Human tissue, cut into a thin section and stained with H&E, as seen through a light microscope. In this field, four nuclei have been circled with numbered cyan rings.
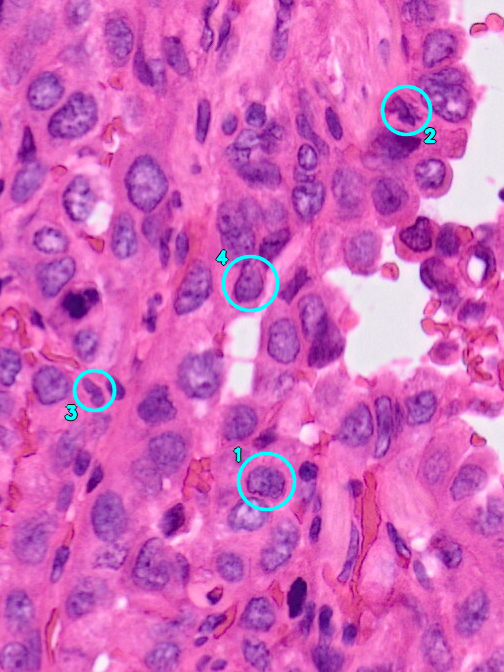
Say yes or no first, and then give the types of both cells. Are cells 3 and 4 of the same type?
No, cell 3 is recognized as a macrophage or monocyte, and cell 4 as a carcinoma cell.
